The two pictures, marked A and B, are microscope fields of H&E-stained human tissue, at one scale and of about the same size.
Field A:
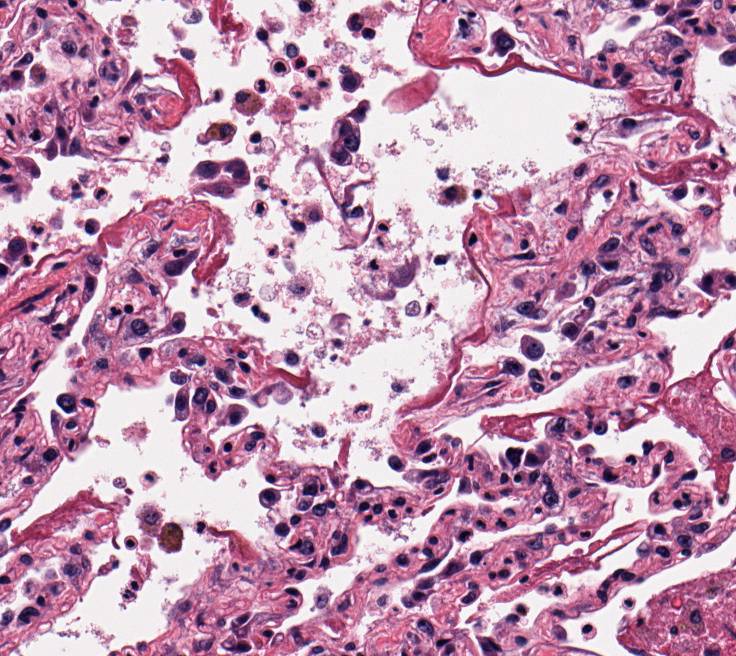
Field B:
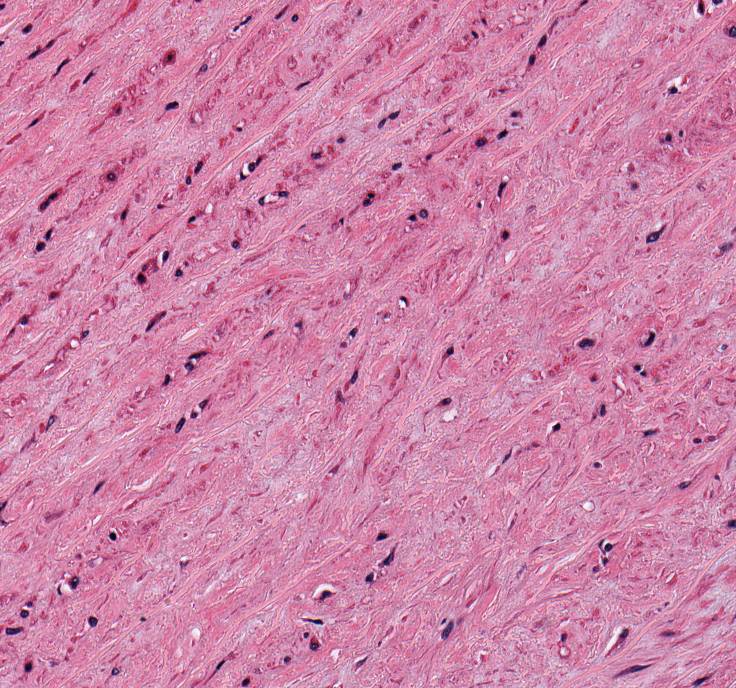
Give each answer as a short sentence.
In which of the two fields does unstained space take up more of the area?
More of field A is empty and white.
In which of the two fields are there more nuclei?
Field A holds more nuclei than field B.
